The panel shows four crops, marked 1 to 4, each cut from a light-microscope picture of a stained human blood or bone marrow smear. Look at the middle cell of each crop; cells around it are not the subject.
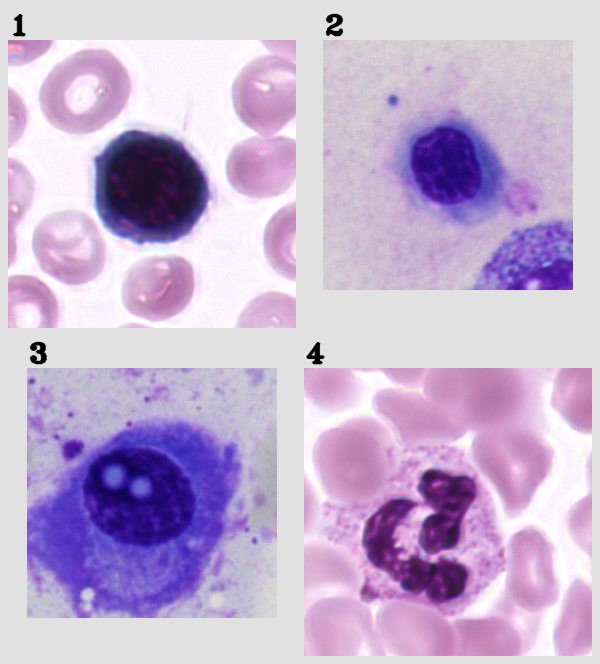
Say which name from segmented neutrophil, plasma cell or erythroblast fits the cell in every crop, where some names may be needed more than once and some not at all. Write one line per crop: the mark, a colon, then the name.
1: erythroblast
2: erythroblast
3: plasma cell
4: segmented neutrophil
